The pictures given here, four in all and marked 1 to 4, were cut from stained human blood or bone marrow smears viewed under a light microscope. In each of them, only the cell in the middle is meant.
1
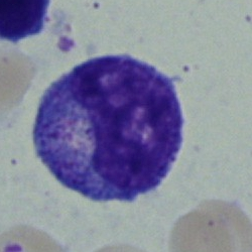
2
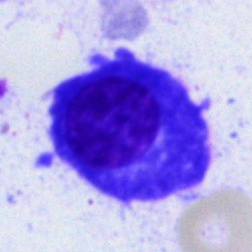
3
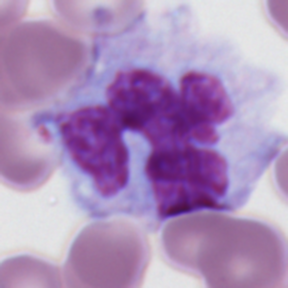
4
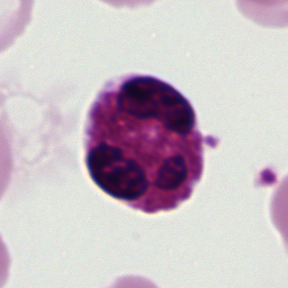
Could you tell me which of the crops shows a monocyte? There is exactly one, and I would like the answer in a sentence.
The crop showing a monocyte in this series is crop 3.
